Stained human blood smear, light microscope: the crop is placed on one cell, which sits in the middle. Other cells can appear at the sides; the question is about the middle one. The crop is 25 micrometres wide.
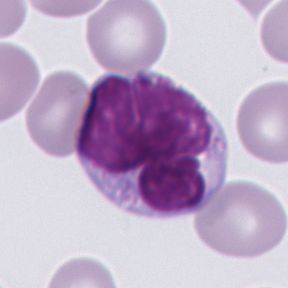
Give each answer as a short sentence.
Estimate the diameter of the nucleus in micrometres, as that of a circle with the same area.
The nucleus is about 11 micrometres across.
